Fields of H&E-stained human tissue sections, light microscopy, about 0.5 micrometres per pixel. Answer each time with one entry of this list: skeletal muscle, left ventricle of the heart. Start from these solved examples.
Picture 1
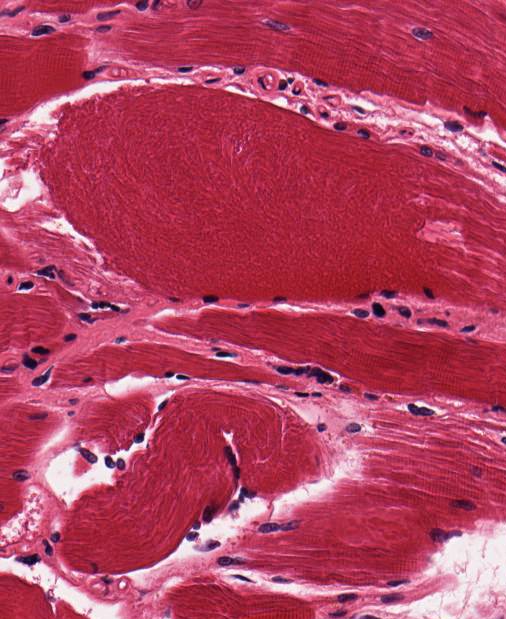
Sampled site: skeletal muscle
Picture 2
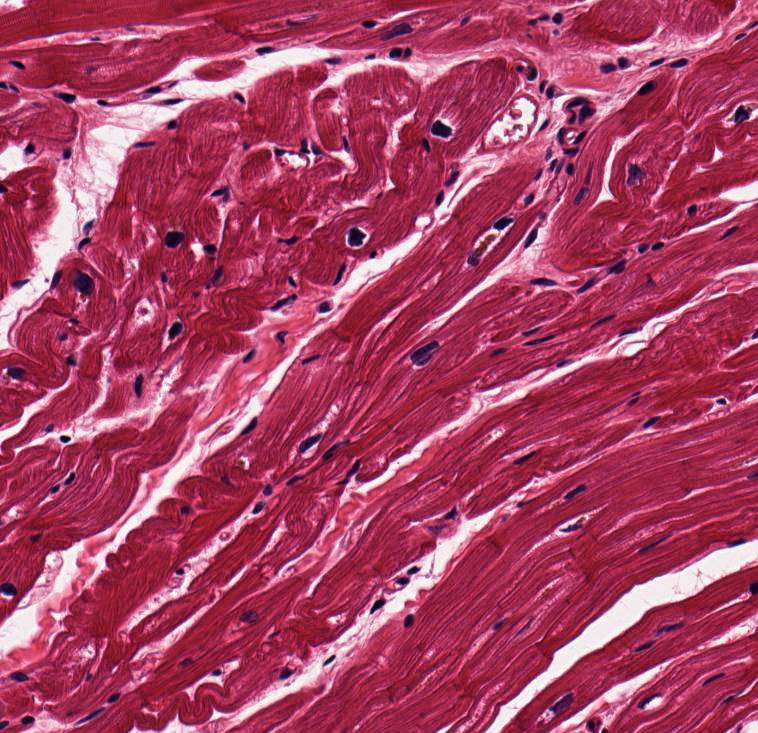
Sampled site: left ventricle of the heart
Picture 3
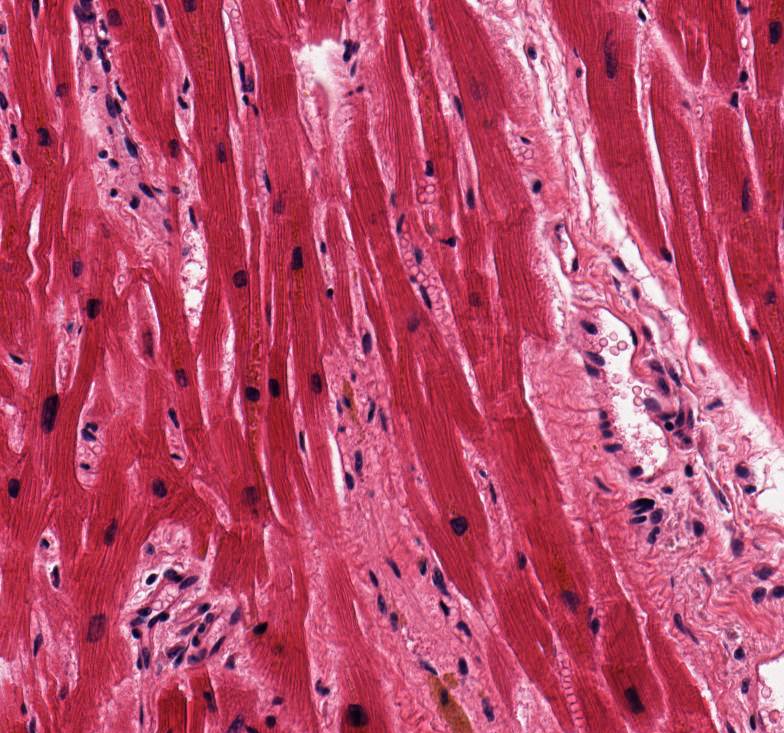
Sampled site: left ventricle of the heart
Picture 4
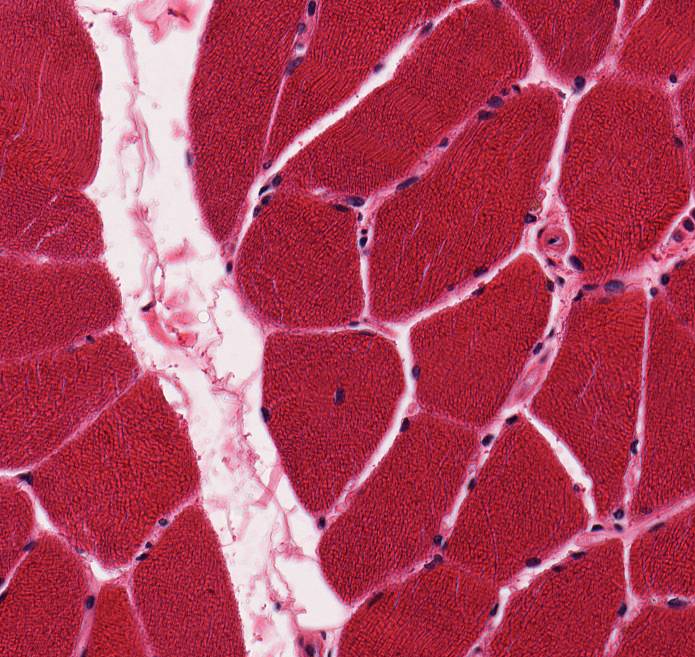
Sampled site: skeletal muscle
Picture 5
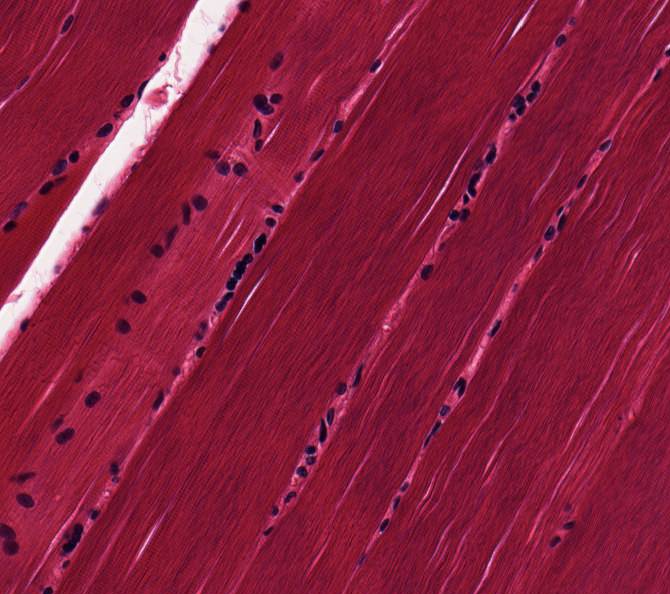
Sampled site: skeletal muscle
